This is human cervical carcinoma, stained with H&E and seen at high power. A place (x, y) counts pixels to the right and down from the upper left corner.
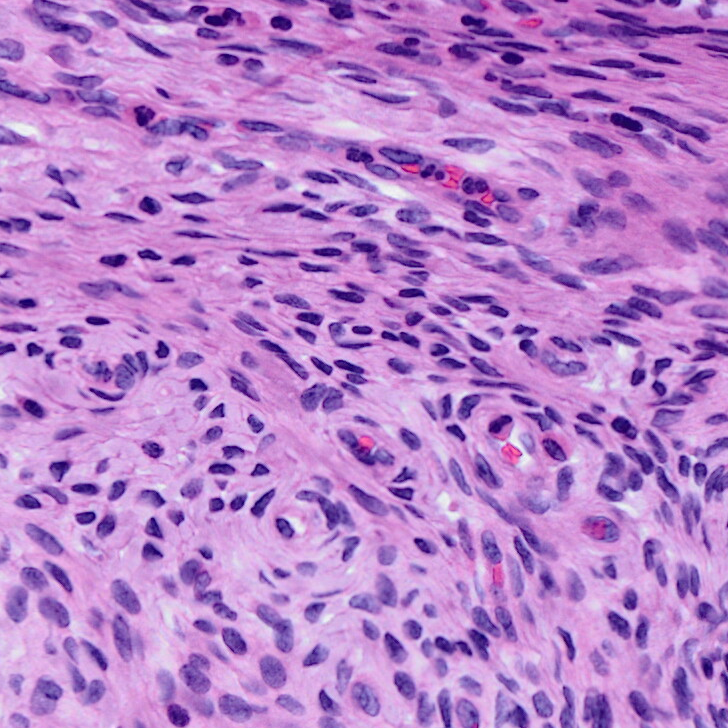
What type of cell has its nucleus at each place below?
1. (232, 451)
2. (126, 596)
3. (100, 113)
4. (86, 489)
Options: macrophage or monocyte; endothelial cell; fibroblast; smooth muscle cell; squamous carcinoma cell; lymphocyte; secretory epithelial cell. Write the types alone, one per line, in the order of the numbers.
fibroblast
fibroblast
endothelial cell
fibroblast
